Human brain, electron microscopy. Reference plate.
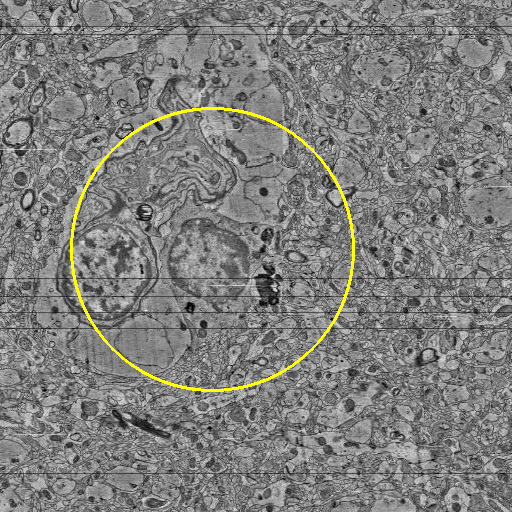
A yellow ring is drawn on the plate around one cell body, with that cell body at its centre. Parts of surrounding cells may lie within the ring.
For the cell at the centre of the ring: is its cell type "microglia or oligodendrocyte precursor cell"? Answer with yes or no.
No, its cell type is another one.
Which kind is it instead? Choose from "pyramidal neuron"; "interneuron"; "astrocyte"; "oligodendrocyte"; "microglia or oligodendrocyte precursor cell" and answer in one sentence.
Instead, the cell at the centre of the ring is an oligodendrocyte.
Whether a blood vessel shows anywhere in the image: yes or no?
Yes.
